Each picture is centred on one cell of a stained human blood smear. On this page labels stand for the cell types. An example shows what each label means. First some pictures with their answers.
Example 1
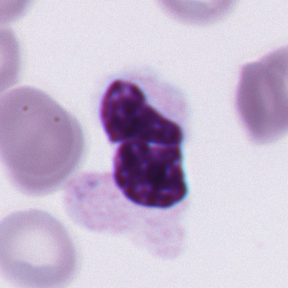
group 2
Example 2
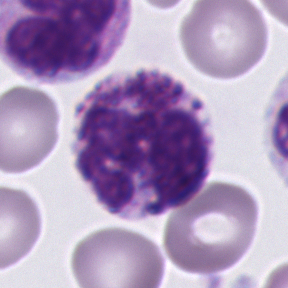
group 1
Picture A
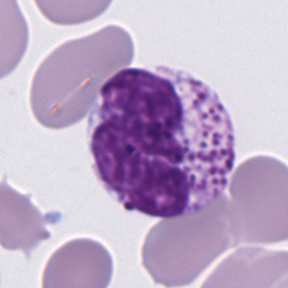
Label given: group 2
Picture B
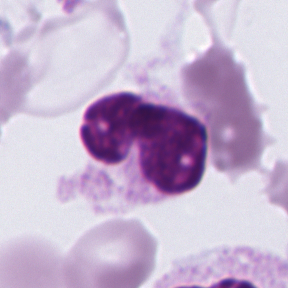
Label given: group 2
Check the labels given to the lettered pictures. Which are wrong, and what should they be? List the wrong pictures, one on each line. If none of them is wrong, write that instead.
A: change group 2 to group 1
